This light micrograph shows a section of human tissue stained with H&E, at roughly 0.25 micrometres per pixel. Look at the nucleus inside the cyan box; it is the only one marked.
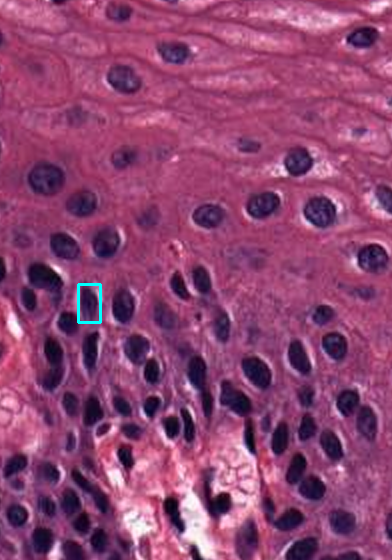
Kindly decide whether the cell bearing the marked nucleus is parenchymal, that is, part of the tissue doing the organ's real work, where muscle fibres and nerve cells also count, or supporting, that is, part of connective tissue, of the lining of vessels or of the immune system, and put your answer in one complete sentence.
The marked nucleus is found in a parenchymal cell, namely a squamous epithelial cell.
